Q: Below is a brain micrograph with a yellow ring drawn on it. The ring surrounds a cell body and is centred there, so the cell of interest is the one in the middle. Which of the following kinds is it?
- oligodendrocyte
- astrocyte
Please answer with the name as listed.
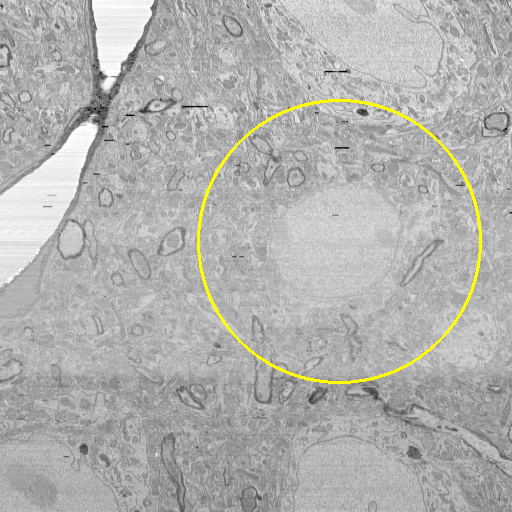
astrocyte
